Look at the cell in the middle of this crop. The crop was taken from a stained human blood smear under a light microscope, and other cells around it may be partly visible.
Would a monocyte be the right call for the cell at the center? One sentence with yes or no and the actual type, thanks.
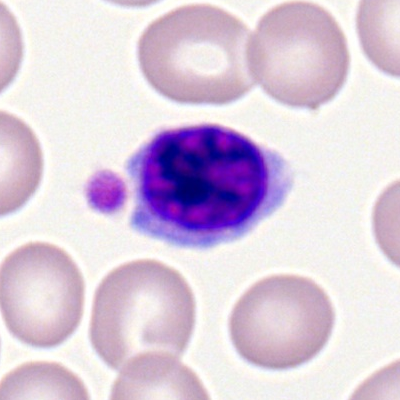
No, it is not a monocyte that lies in the middle but a lymphocyte.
